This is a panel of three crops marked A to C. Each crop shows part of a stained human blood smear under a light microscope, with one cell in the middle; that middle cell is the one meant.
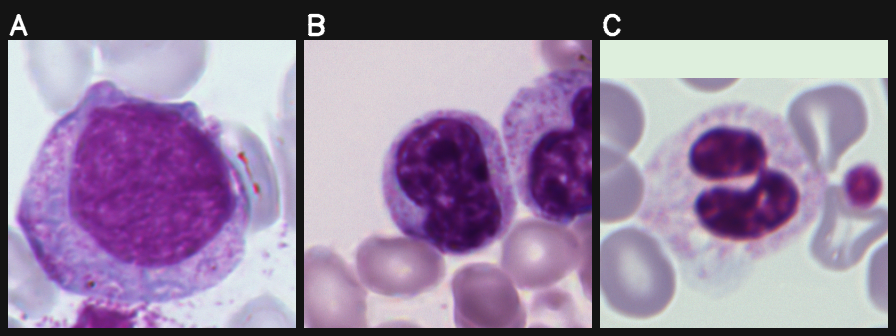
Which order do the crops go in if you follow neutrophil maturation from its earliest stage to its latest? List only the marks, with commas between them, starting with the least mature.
A, B, C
